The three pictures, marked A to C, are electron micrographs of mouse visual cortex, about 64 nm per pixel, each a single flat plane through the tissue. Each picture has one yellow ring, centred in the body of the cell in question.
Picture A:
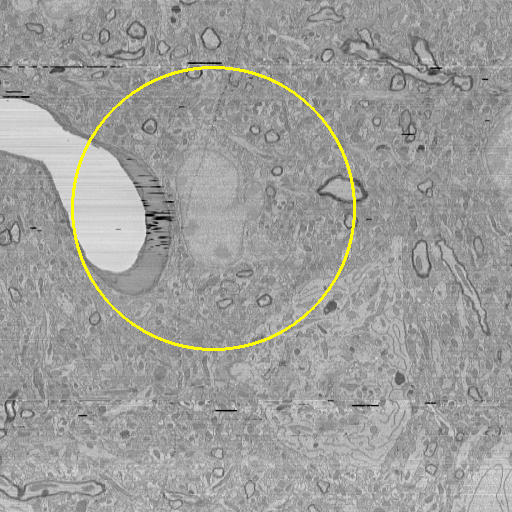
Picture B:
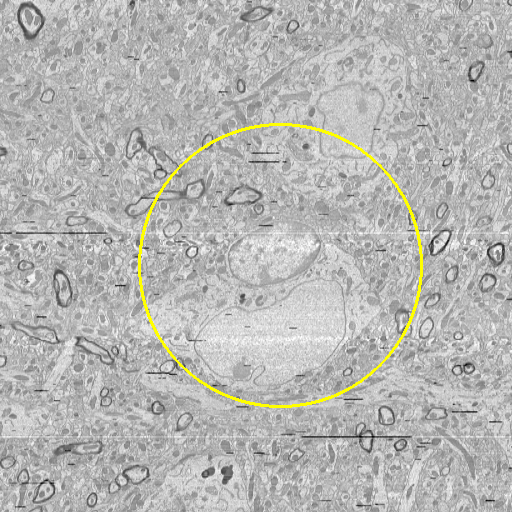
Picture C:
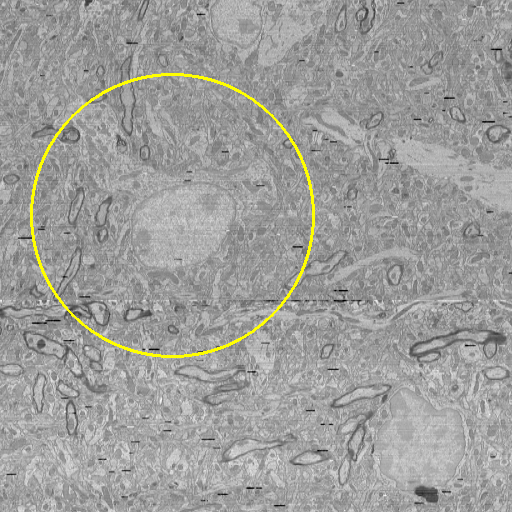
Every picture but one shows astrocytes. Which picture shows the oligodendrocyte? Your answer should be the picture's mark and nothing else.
B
